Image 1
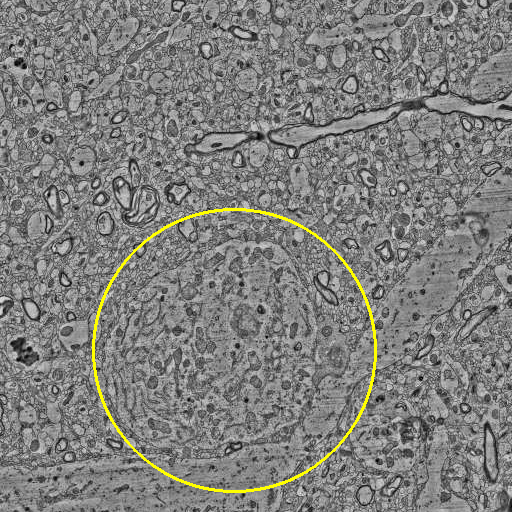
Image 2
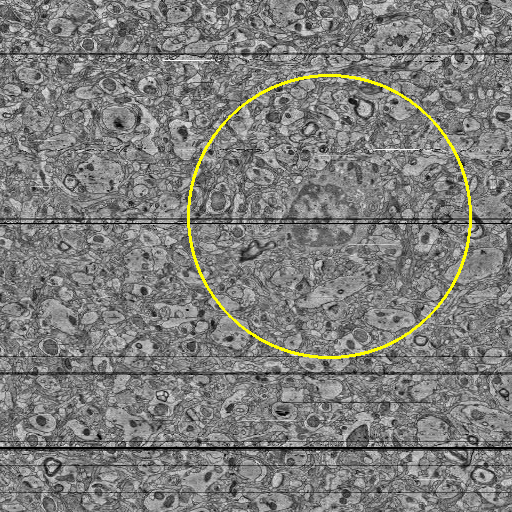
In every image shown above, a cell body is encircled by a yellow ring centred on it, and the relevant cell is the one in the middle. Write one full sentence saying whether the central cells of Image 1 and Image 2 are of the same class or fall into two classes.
The cell at the ring's centre in Image 1 and its counterpart in Image 2 fall into two classes.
